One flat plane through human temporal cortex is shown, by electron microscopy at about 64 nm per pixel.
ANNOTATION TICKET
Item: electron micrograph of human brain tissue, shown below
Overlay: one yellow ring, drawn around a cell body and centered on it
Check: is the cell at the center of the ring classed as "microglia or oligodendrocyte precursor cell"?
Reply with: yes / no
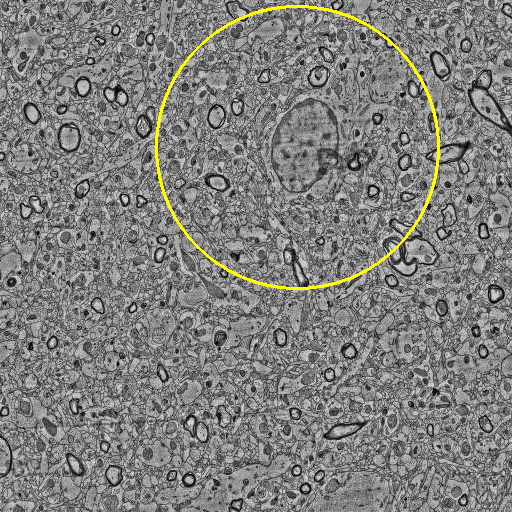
yes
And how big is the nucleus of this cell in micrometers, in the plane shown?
Approximately 6 by 4 micrometers, which makes the nucleus clearly longer than it is wide in this plane.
